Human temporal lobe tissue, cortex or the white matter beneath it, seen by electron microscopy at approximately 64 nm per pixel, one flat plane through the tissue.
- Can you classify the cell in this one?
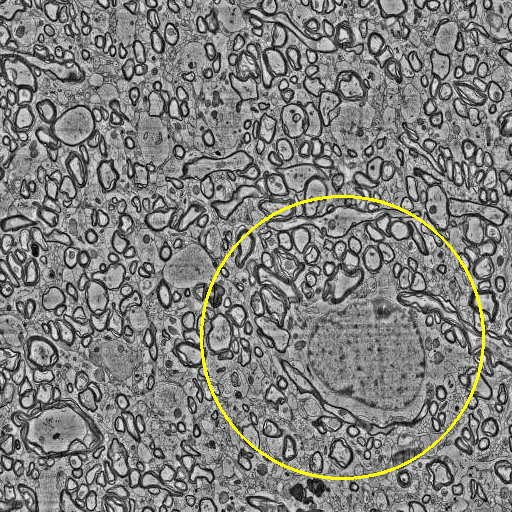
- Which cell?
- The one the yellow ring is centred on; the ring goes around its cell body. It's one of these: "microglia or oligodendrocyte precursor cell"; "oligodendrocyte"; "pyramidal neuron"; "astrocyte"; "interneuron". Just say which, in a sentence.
The cell body in the ring belongs to an astrocyte.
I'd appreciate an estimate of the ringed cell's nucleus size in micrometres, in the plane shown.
The ringed cell's nucleus is about 7 micrometres across in this plane.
